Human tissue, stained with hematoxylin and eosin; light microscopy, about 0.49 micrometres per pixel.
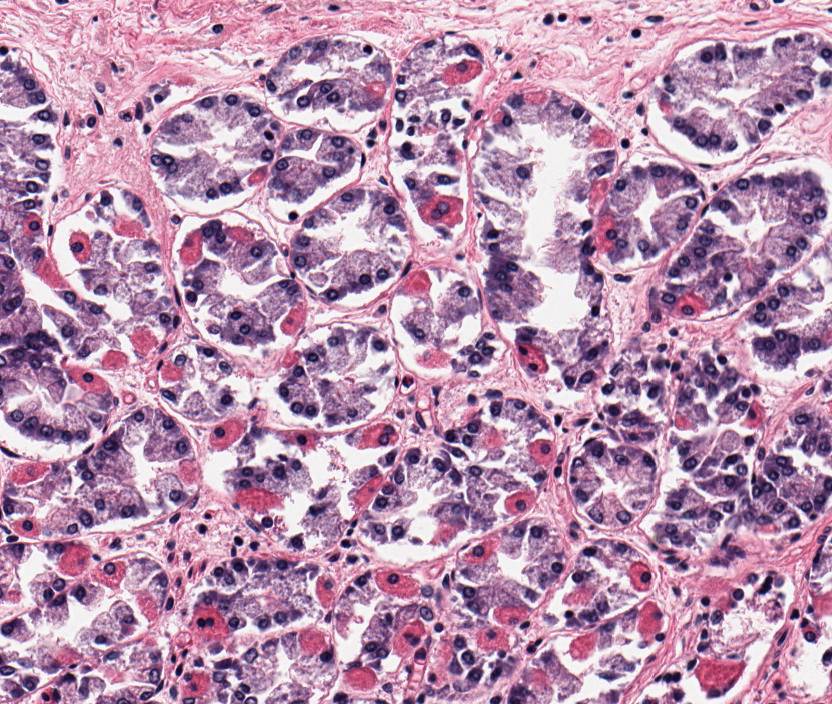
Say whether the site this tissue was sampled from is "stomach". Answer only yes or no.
yes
